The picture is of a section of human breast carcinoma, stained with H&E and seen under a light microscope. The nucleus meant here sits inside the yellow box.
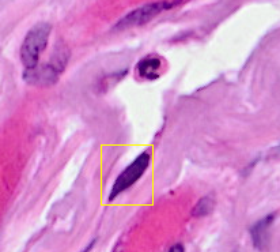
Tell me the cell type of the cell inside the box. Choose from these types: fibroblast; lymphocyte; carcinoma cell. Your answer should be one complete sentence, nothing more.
In short, the cell inside the box on this section is a fibroblast.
